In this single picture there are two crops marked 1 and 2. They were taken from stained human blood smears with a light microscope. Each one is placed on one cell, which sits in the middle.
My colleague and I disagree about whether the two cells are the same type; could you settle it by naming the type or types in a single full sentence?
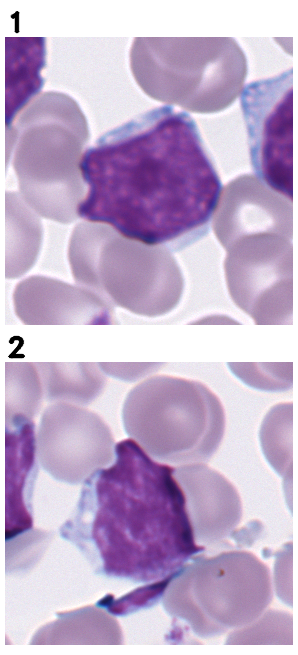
Yes, in the two crops, typical lymphocytes are the cells at the centre.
